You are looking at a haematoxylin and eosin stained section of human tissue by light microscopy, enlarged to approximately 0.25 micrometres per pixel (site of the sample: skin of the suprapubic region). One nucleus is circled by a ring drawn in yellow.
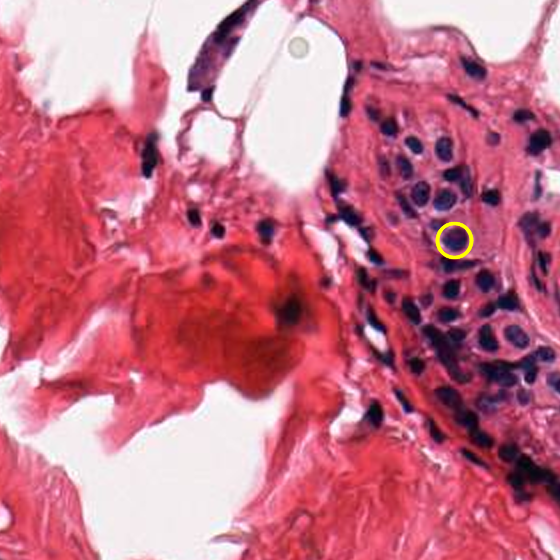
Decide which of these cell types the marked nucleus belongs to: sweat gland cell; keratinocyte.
sweat gland cell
